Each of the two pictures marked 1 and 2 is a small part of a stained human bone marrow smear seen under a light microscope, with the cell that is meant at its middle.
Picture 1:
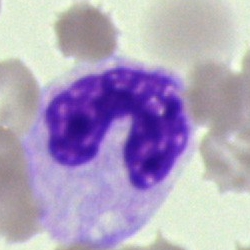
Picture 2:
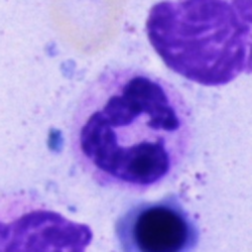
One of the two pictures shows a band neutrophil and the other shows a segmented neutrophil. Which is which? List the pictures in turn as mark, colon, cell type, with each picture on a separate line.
1: band neutrophil
2: segmented neutrophil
